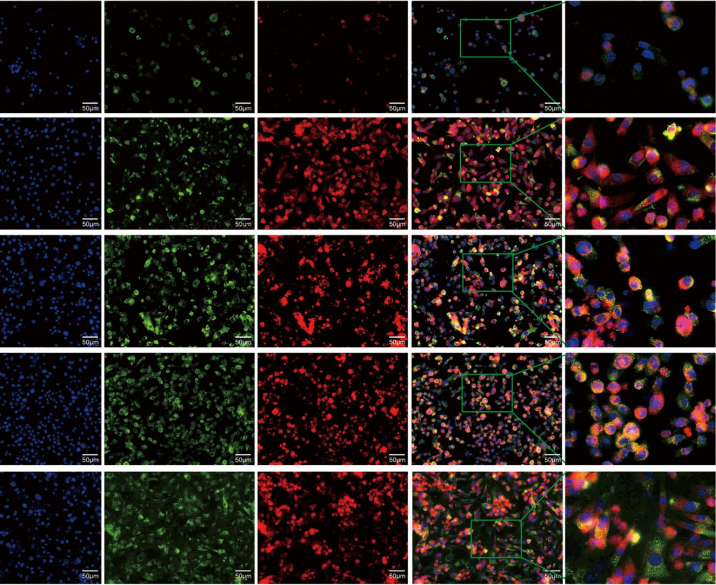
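The nuclei show as small, round-to-oval blue spots scattered fairly evenly across a dish-grown layer, not packed into any tissue pattern. In the green channel the cytoplasm of many cells is outlined or filled, with a rounded to irregular cell shape around each nucleus. In the merged and enlarged views, red and green overlap in yellow to orange patches surrounding blue nuclei. Some cells are rounded and others are spread with short extensions.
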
